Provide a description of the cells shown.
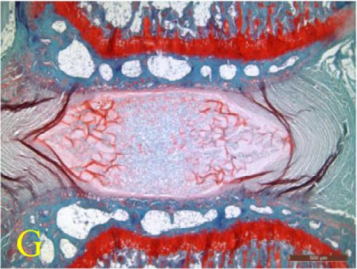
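This section shows an intervertebral disc between two vertebrae, with the nucleus pulposus as a broad oval in the centre. The core is finely speckled in pale blue and red, with a delicate red network through it. Around it the annulus forms layered, wavy lamellae, and above and below blue-green bone with open marrow spaces borders the disc, while bright red-stained cartilage bands lie further out in the vertebral bodies.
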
